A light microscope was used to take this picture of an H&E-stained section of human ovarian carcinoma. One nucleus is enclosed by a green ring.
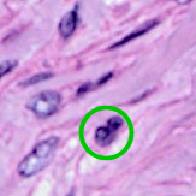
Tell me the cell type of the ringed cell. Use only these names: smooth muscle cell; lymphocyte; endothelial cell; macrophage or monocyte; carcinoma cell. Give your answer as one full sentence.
The ringed cell appears to be a lymphocyte.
